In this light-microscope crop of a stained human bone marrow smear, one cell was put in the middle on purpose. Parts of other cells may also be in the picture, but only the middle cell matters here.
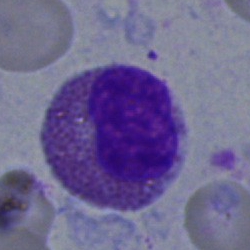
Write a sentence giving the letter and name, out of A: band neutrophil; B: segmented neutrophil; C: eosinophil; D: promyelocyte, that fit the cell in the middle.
The middle cell of the crop is an eosinophil; accordingly, option C is correct.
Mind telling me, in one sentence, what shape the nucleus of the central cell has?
Its nucleus is compact and single, with a round, oval or kidney-shaped form.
